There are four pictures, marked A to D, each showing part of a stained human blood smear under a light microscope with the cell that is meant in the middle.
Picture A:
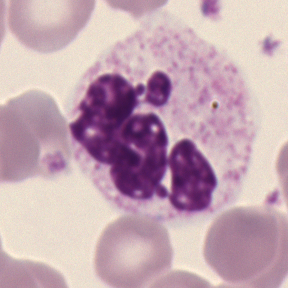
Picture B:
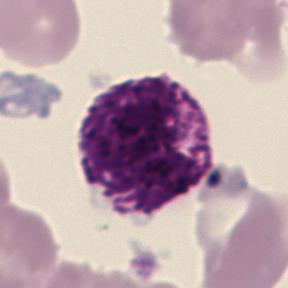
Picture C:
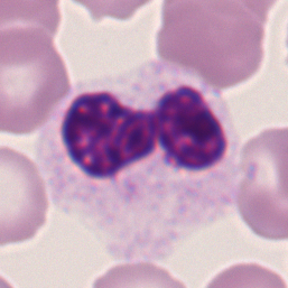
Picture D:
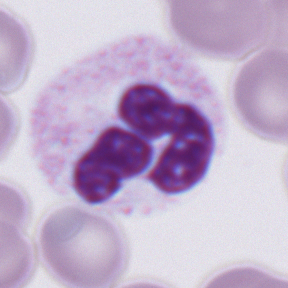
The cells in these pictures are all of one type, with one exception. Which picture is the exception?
B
